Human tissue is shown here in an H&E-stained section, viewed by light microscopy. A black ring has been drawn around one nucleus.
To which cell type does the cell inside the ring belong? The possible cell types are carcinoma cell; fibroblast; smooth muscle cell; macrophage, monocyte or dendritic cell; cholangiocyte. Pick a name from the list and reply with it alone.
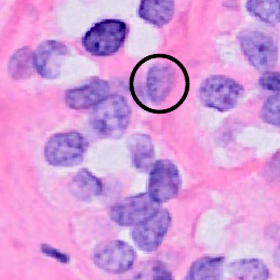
carcinoma cell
